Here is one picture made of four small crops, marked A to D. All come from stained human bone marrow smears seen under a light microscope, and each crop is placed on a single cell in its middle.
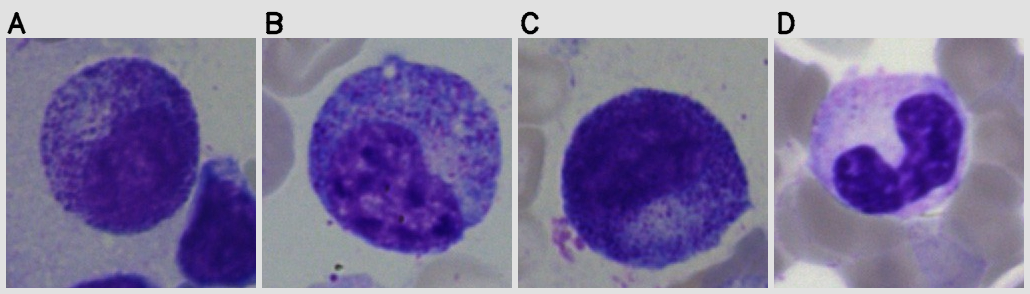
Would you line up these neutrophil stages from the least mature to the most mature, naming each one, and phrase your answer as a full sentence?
From least mature through to most mature, the order is crop C (a promyelocyte), crop A (a myelocyte), crop B (a metamyelocyte) and crop D (a band neutrophil).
